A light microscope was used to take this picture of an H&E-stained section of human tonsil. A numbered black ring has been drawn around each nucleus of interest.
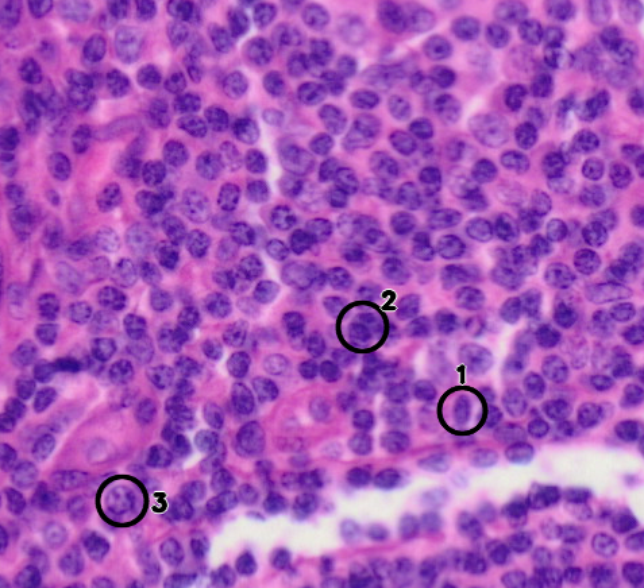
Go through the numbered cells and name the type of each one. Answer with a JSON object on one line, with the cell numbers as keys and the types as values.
{"1": "small lymphocyte", "2": "small lymphocyte", "3": "plasma cell"}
